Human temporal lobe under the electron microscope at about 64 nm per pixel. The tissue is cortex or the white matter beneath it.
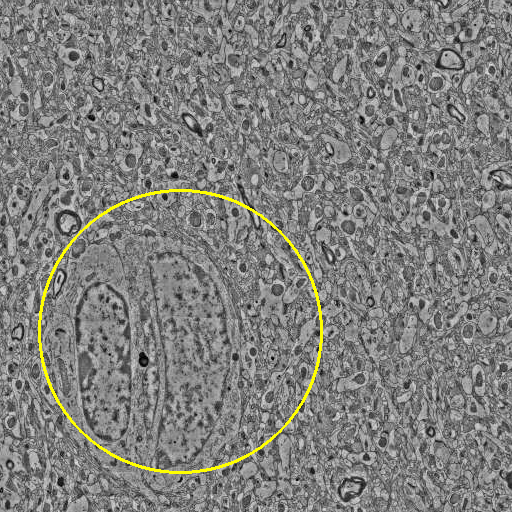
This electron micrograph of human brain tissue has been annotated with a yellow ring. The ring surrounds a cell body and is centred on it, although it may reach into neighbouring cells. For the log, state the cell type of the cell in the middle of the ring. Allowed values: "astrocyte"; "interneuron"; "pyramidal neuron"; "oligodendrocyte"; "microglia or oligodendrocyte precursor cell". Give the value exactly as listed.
interneuron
